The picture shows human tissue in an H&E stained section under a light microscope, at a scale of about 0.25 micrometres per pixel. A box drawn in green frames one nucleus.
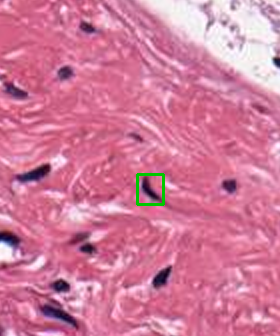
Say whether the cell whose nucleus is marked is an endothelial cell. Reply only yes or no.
no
